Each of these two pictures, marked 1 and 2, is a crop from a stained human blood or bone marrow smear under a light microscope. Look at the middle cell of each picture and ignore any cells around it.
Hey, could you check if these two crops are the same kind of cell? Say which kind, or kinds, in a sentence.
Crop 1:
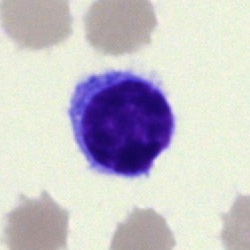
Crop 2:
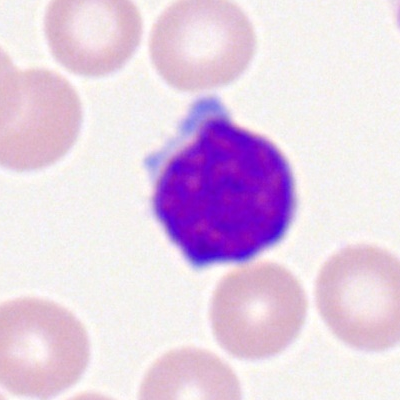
Yes, both crops have lymphocytes as their central cells.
